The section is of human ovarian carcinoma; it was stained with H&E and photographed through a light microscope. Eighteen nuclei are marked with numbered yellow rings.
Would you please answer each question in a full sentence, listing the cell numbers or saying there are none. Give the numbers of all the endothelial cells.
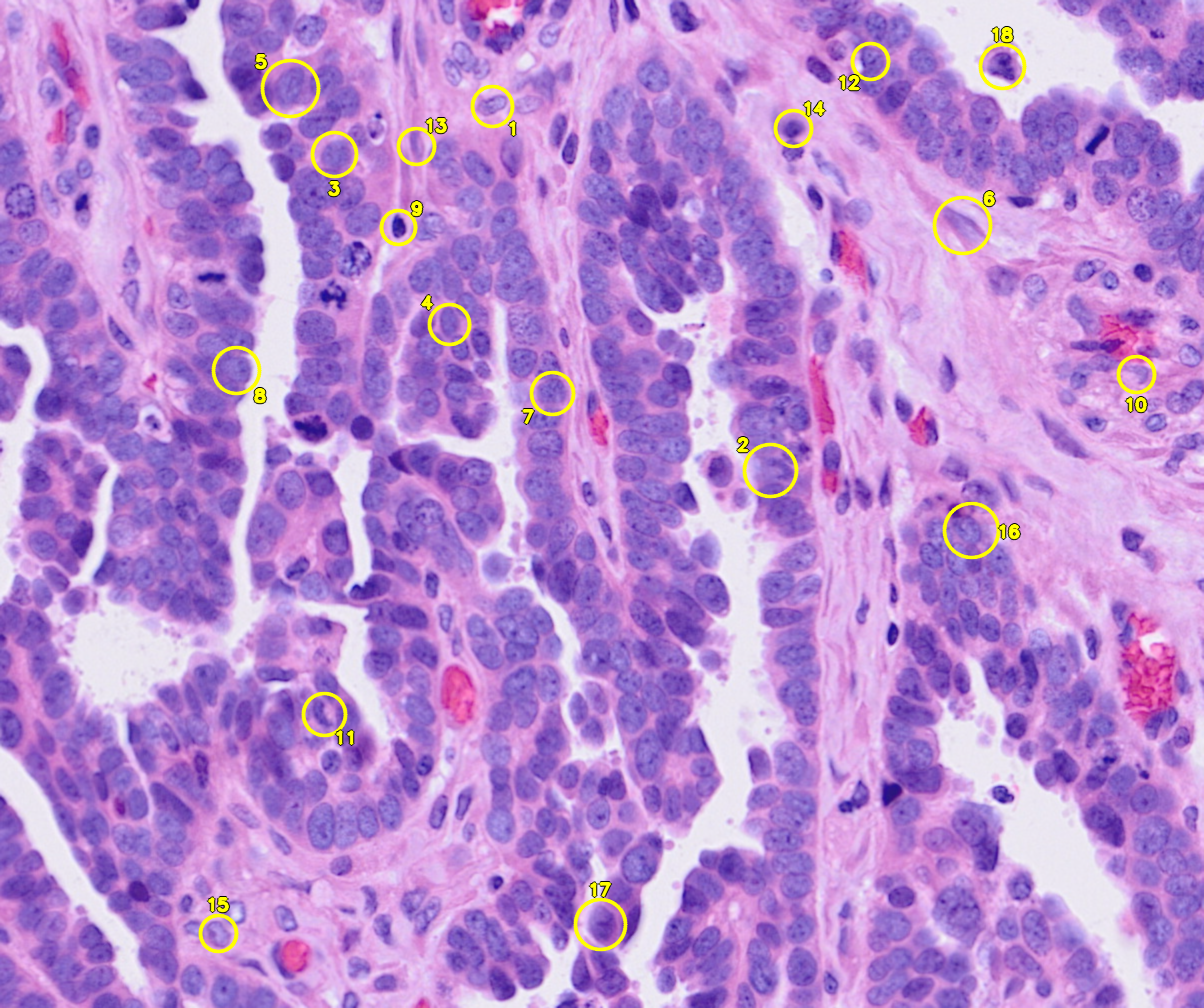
In this set of numbered cells, only cell 10 is an endothelial cell.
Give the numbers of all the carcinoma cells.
In this section, the cells numbered 2, 3, 4, 5, 7, 8, 11, 12, 16 and 17 are carcinoma cells.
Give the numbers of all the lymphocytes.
Cells 9 and 14 are classified as lymphocytes.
